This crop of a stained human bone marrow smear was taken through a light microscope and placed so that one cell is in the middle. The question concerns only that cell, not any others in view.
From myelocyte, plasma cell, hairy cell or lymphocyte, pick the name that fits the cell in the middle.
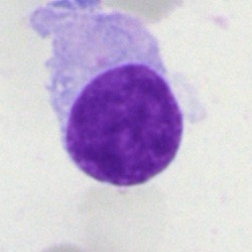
hairy cell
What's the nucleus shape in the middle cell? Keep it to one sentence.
Round, oval or kidney-shaped, the nucleus is one compact mass.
